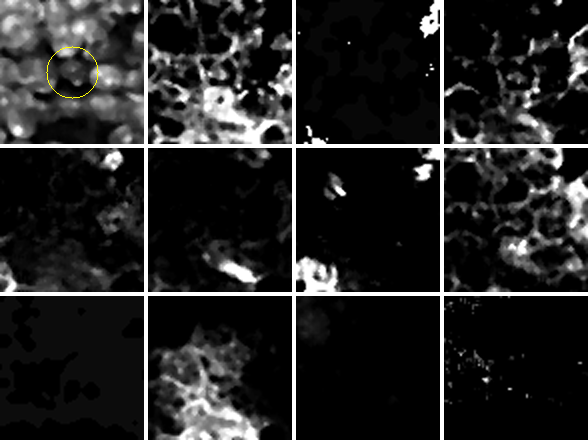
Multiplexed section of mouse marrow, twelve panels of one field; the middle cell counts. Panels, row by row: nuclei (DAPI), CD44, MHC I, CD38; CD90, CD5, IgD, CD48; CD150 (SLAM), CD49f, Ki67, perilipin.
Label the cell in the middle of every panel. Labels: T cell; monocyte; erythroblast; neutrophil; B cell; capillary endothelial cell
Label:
neutrophil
